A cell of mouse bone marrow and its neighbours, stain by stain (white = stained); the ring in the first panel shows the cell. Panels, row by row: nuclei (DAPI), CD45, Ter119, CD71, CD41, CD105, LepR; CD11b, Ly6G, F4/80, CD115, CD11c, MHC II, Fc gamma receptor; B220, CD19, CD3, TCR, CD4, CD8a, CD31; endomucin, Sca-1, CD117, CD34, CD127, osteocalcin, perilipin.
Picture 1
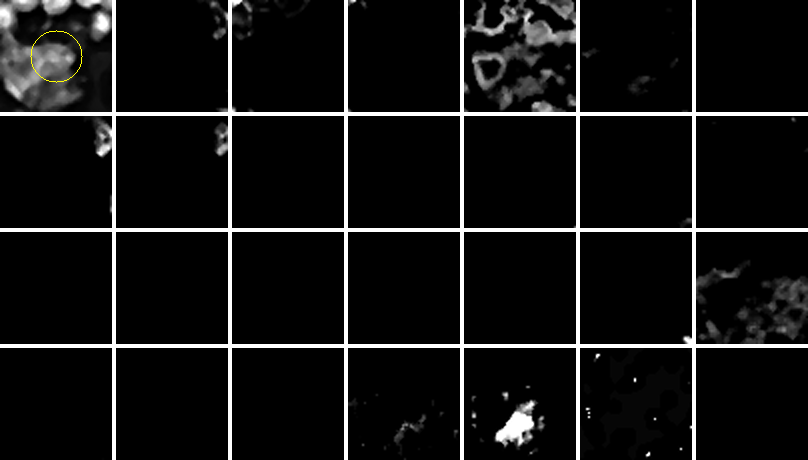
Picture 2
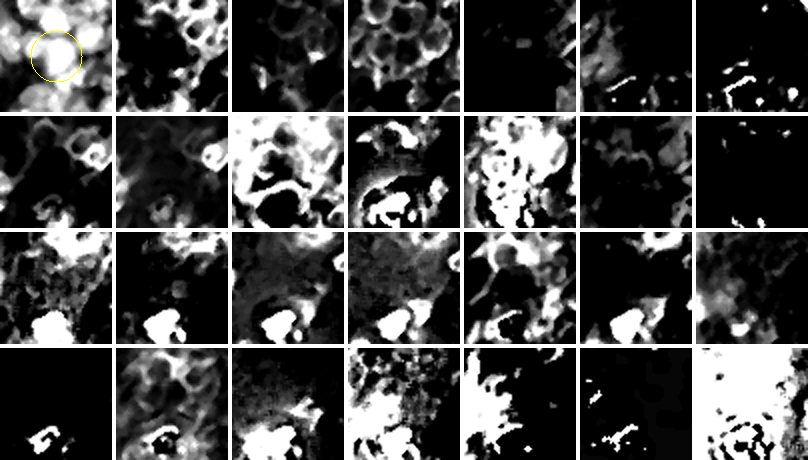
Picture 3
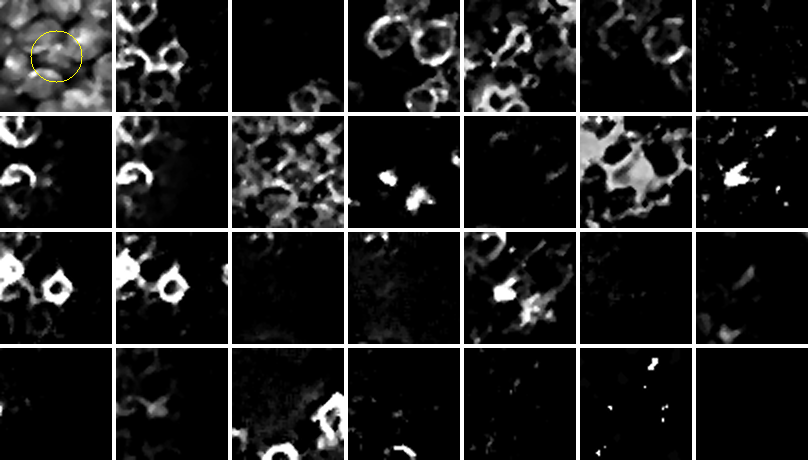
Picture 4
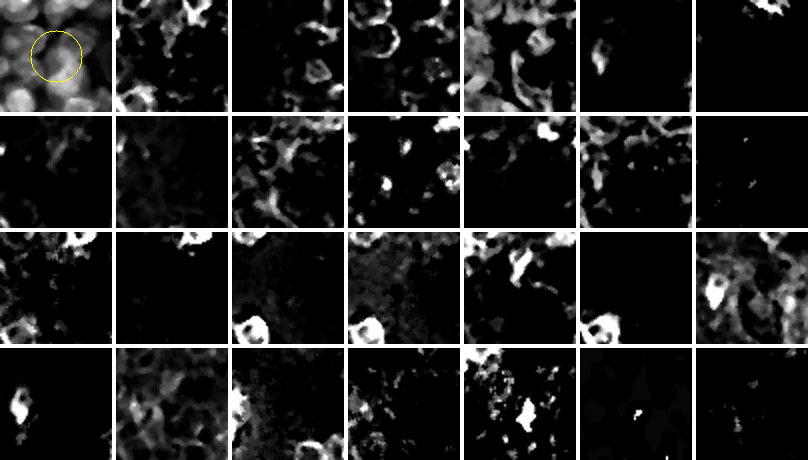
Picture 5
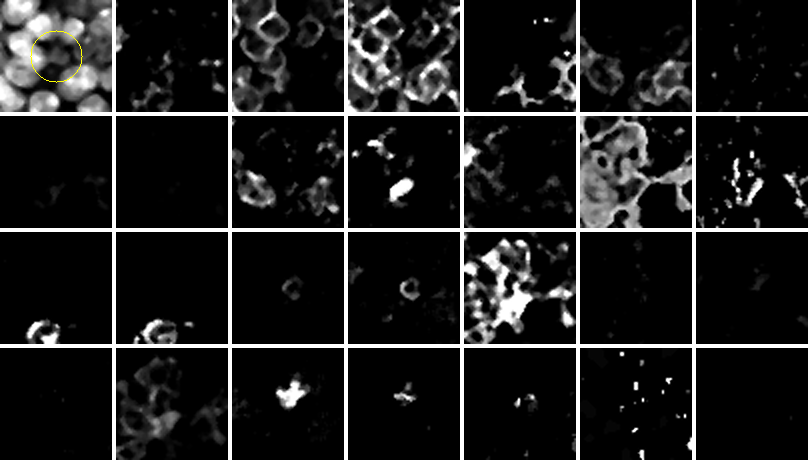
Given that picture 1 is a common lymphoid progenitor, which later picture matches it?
4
